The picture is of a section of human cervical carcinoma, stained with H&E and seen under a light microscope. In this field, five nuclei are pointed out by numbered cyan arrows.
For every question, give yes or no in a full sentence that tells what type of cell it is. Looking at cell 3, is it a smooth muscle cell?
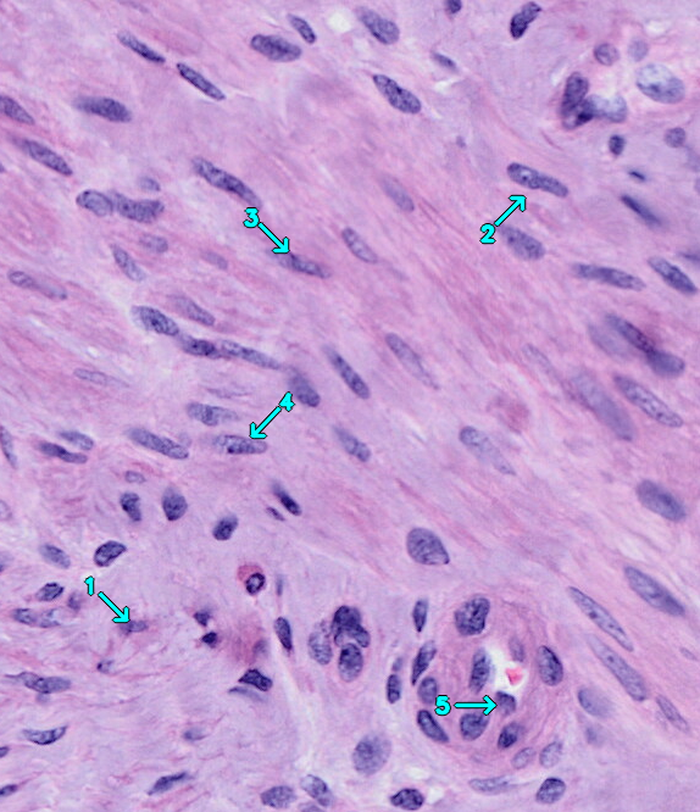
Yes, it is a smooth muscle cell that carries the number 3.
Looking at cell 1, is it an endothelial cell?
No, the cell given number 1 is a smooth muscle cell, as opposed to an endothelial cell.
